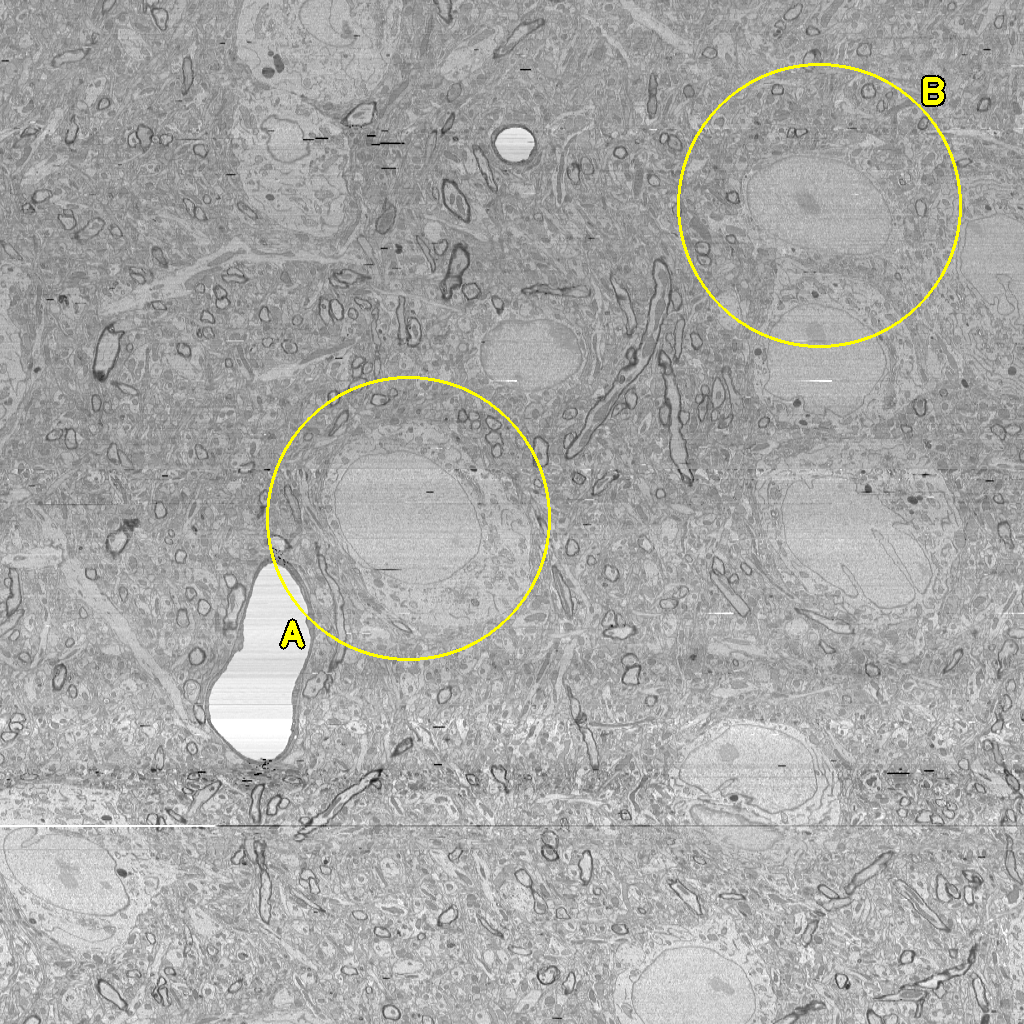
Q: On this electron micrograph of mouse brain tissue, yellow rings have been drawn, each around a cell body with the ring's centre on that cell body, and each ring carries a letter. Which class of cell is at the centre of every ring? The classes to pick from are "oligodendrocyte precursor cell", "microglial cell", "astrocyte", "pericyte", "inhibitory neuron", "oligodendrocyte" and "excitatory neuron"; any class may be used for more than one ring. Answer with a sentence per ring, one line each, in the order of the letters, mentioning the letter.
The centre of ring A is occupied by an excitatory neuron.
The centre of ring B is occupied by an astrocyte.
